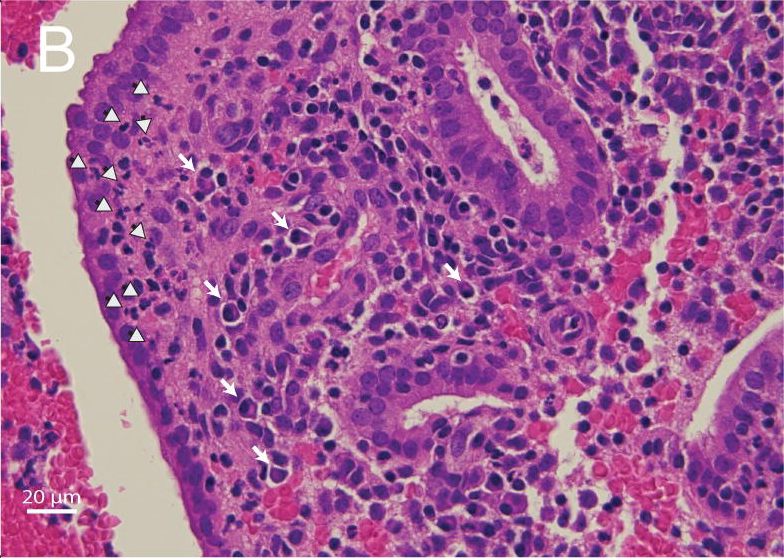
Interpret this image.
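This is endometrium with a heavy inflammatory infiltrate in the stroma. Along one edge a surface epithelium of columnar cells with oval purple nuclei faces an empty space, and small, dark, compact nuclei of neutrophils are scattered within it. The stroma beneath is crowded with inflammatory cells, among them plasma cells: rounded cells with a dark, round nucleus set to one side and a rim of pink cytoplasm, often with a pale halo. Glands lined by columnar epithelium lie within this stroma, and bright red blood cells fill spaces between them.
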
